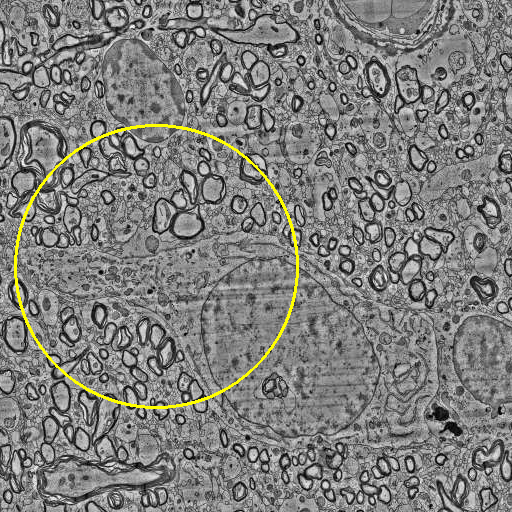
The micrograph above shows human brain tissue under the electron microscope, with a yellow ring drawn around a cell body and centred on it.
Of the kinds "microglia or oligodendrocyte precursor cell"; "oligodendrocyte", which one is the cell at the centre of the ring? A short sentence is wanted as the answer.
The one at the centre of the ring is an oligodendrocyte.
